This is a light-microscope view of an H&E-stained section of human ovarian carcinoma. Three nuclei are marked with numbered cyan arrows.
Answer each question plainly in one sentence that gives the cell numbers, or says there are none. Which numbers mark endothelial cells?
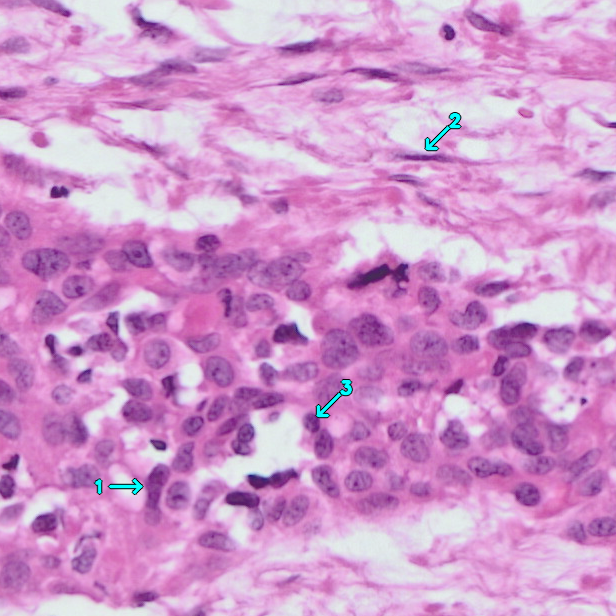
No endothelial cells are present among the numbered cells.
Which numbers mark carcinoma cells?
Regarding the numbered cells 1 and 3, these are carcinoma cells.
